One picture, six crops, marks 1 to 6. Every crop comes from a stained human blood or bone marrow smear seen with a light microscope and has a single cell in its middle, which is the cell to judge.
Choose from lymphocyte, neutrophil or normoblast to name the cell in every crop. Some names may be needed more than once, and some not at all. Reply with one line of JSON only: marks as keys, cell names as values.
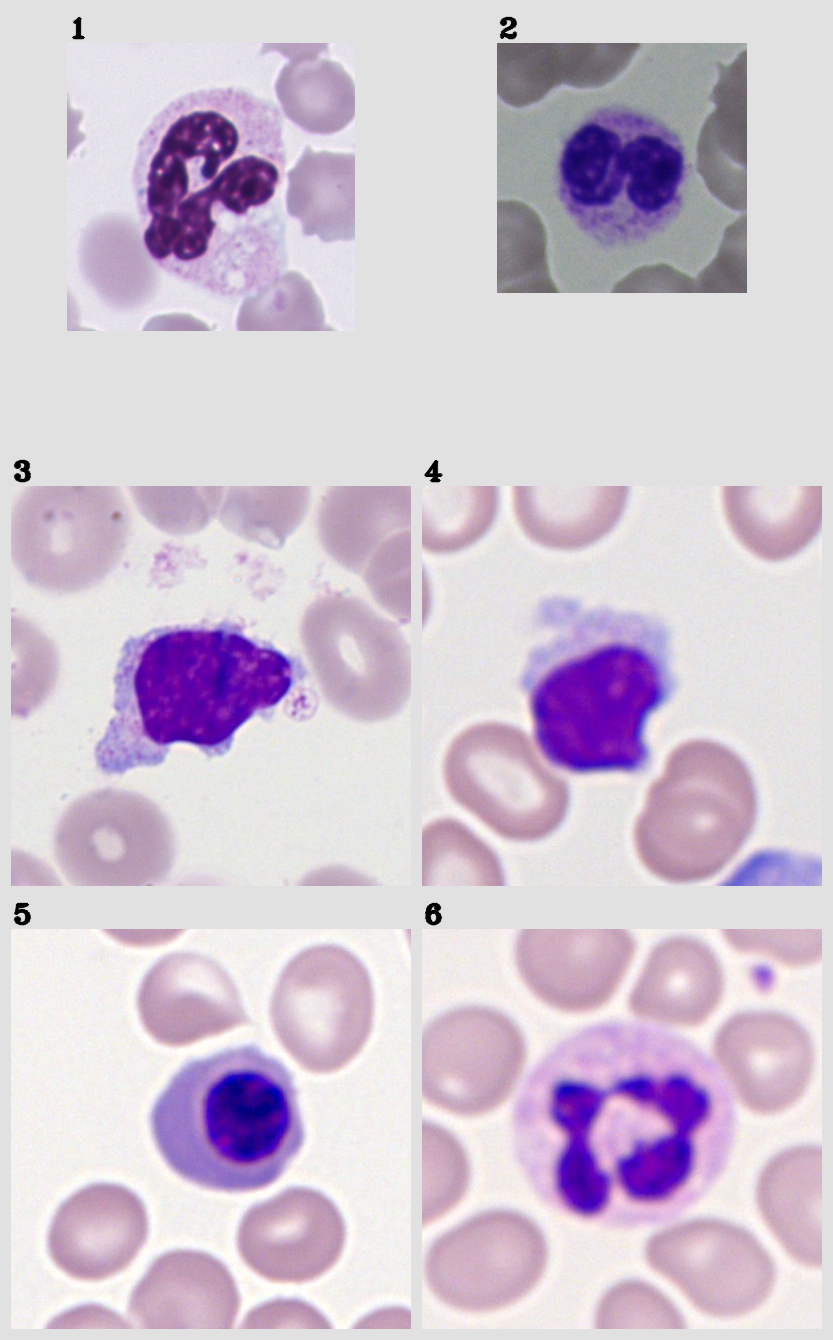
{"1": "neutrophil", "2": "neutrophil", "3": "lymphocyte", "4": "lymphocyte", "5": "normoblast", "6": "neutrophil"}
